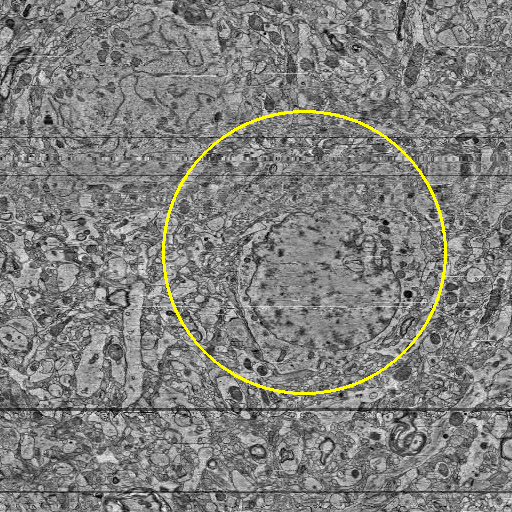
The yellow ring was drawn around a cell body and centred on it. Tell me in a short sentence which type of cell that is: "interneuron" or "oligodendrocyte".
The cell at the ring's centre is an interneuron.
